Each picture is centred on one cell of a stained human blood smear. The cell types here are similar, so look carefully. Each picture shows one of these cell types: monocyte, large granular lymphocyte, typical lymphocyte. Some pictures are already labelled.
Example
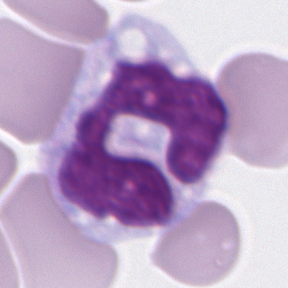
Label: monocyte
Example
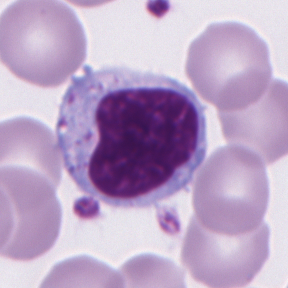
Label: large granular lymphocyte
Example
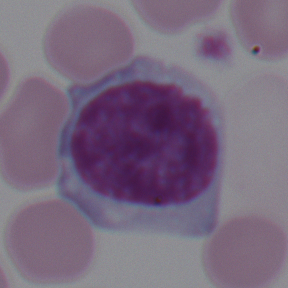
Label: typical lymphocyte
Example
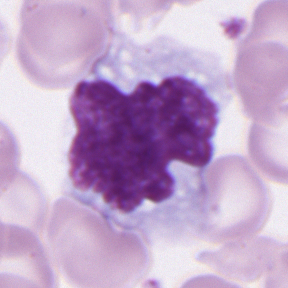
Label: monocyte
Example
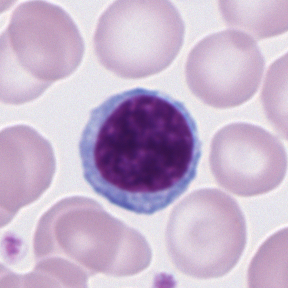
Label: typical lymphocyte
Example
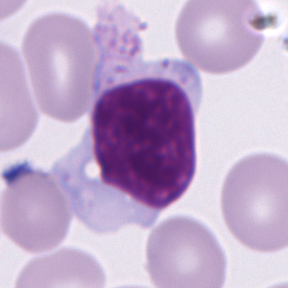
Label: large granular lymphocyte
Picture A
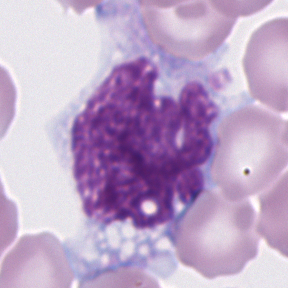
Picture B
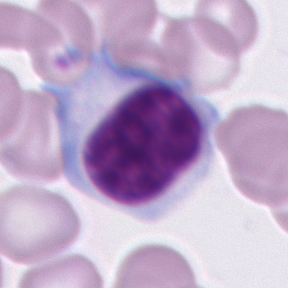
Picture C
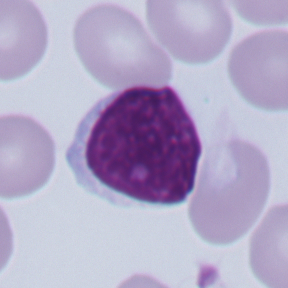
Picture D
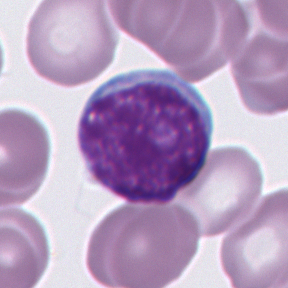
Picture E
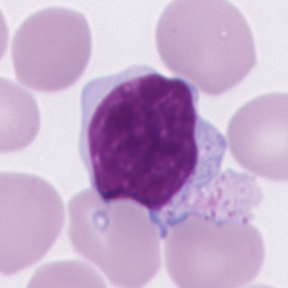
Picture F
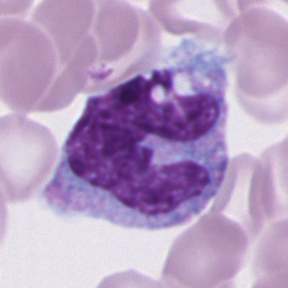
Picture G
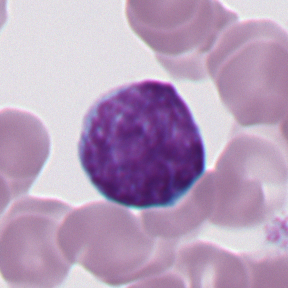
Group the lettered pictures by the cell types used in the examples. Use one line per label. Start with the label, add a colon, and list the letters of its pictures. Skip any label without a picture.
monocyte: A, F
large granular lymphocyte: E
typical lymphocyte: B, C, D, G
